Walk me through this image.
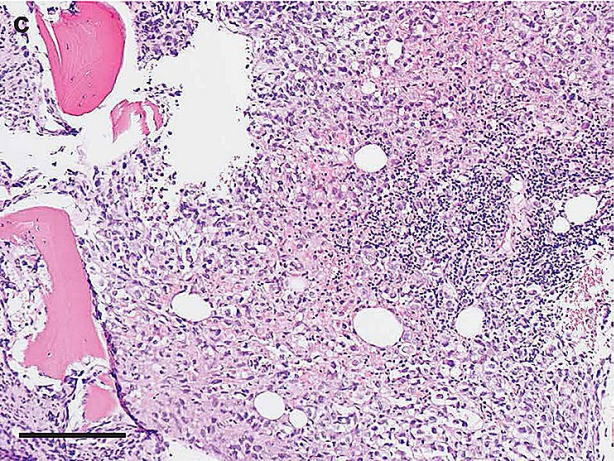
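Sheets of large tumor cells with moderate pale-pink cytoplasm and oval to irregular nuclei fill most of the field. Toward the centre and right, a dense band of small lymphocytes with round, dark-blue nuclei and scant cytoplasm crowds between the tumor cells. Round clear spaces, likely fat vacuoles, are scattered throughout. At the left edge lie fragments of bright pink trabecular bone with a thin rim of spindle-shaped cells, so the tumor sits within bone marrow space.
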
